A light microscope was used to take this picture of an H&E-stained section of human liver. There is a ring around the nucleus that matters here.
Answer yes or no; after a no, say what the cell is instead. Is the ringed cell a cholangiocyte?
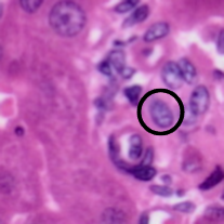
Yes.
